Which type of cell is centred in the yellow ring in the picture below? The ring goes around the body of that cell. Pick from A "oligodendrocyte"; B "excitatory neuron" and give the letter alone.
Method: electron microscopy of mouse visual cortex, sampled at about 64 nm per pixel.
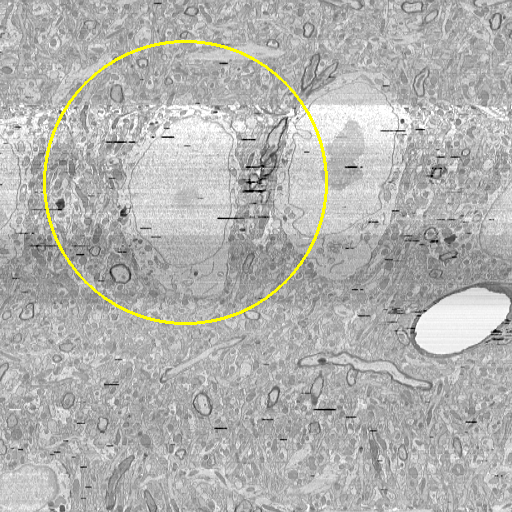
B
